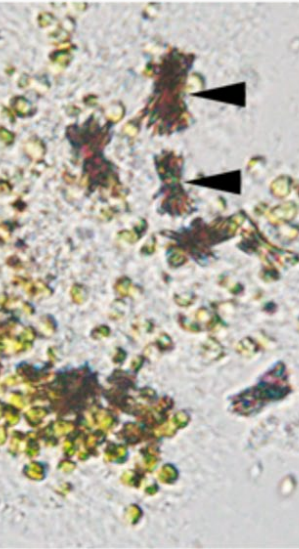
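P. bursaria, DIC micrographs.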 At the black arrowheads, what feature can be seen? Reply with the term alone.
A: Crystals.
